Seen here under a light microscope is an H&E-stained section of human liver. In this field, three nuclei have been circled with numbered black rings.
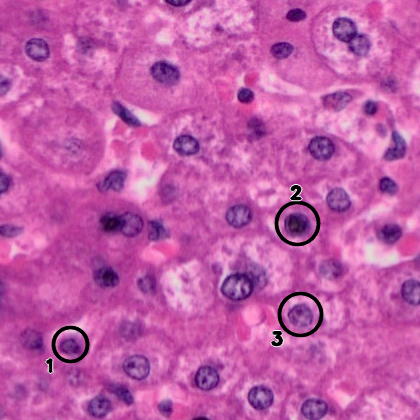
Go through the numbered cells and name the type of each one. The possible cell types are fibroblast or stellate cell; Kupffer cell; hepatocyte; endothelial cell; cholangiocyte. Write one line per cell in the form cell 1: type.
cell 1: Kupffer cell
cell 2: hepatocyte
cell 3: hepatocyte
